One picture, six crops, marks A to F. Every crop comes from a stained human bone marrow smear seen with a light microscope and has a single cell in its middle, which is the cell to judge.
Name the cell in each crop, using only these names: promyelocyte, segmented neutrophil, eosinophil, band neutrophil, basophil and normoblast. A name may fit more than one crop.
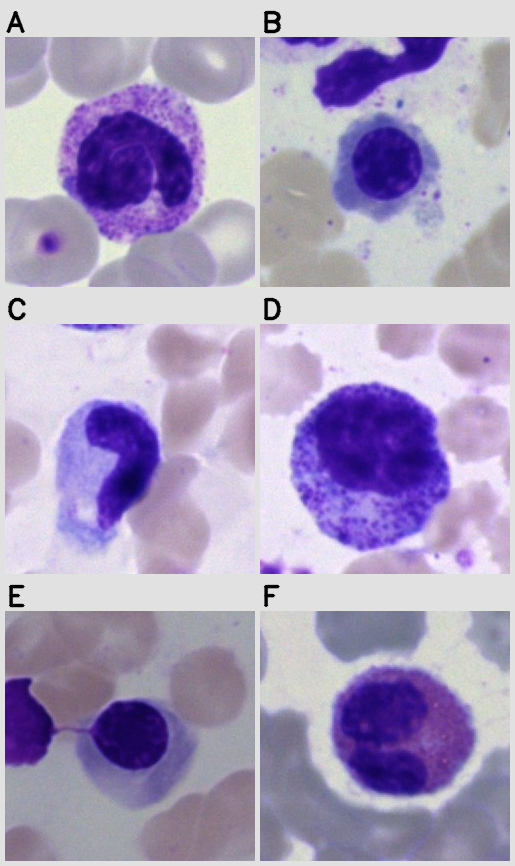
A: segmented neutrophil
B: normoblast
C: band neutrophil
D: promyelocyte
E: normoblast
F: eosinophil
